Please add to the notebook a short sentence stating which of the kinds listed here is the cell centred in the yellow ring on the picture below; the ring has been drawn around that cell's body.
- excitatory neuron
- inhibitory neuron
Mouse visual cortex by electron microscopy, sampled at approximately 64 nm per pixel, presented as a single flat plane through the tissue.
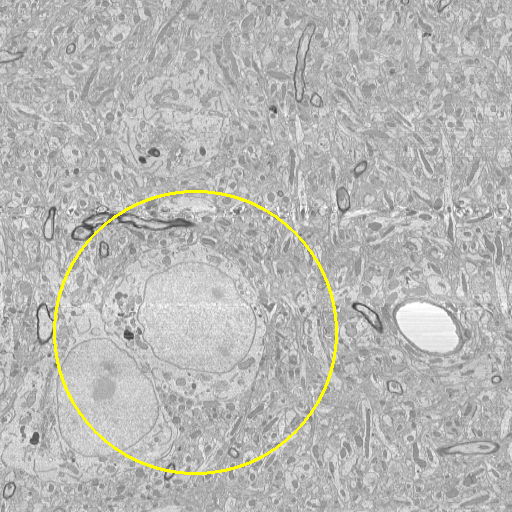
The cell centred in the yellow ring is an excitatory neuron.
